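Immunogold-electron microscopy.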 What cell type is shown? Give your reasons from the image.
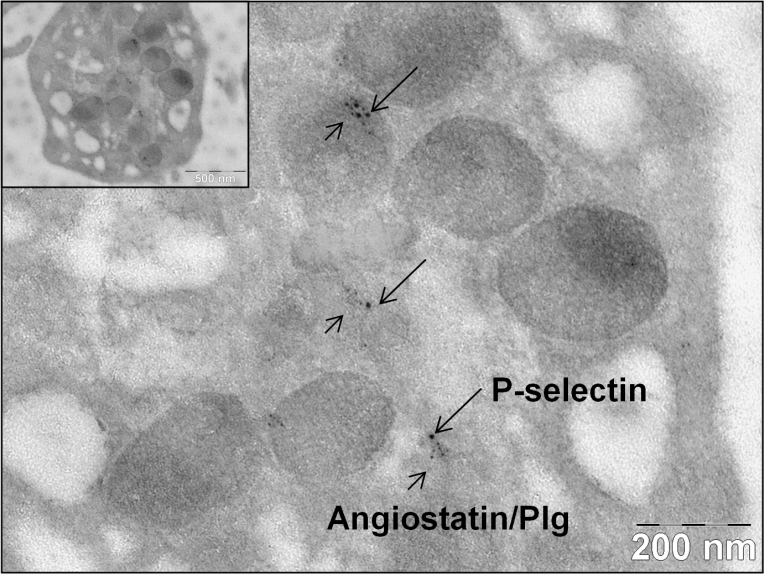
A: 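No nucleus is seen in the inset. The cytoplasm is packed with dense granules and pale vesicles. The answer: platelet.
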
